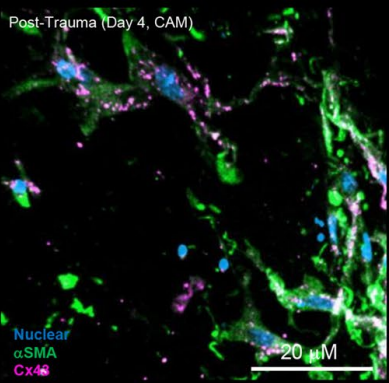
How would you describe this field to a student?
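Myofibroblasts at high magnification, seen as irregular green-filled cell bodies and processes with small oval blue nuclei, strung across a dark gap. Small pink dots cluster in the cytoplasm of these cells, often near the nuclei.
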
